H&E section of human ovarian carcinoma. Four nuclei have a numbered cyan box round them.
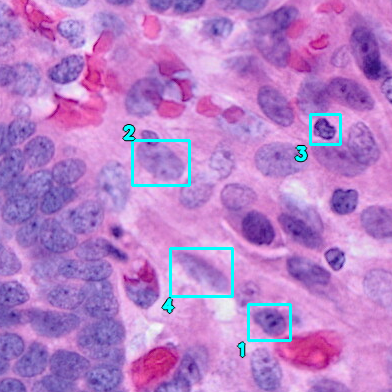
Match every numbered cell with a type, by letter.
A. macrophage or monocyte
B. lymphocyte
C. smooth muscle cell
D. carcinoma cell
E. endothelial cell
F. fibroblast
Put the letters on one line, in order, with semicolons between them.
A; F; B; F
